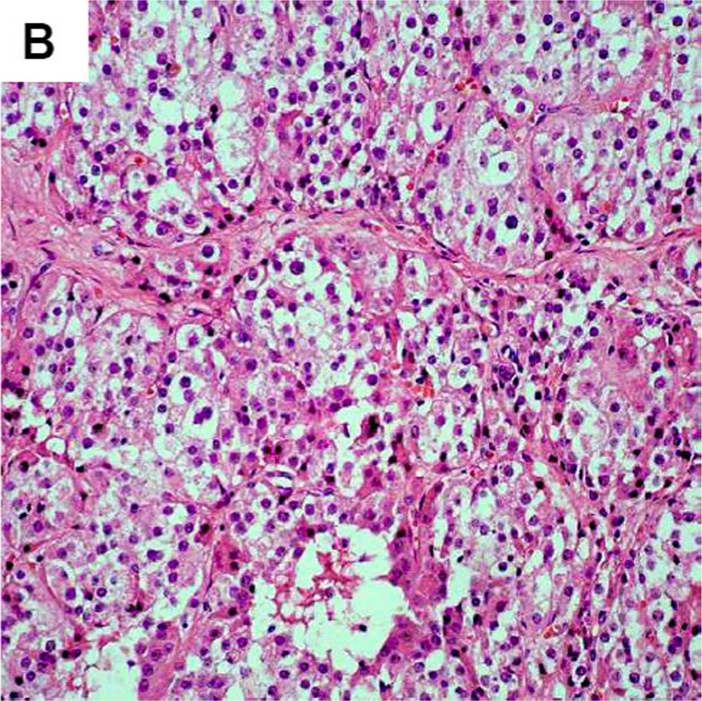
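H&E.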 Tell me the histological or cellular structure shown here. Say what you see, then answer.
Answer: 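Columns or nests. Cells are grouped into rounded clusters and cords. The groups are outlined by thin pink strands.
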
